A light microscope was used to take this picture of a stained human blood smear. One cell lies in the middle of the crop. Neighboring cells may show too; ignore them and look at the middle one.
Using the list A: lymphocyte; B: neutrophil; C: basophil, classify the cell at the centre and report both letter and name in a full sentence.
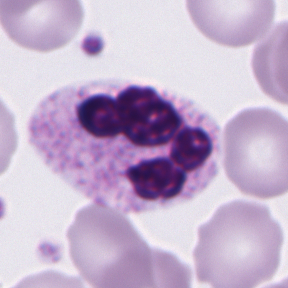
Option B gives the correct identity of the central cell, namely a neutrophil.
